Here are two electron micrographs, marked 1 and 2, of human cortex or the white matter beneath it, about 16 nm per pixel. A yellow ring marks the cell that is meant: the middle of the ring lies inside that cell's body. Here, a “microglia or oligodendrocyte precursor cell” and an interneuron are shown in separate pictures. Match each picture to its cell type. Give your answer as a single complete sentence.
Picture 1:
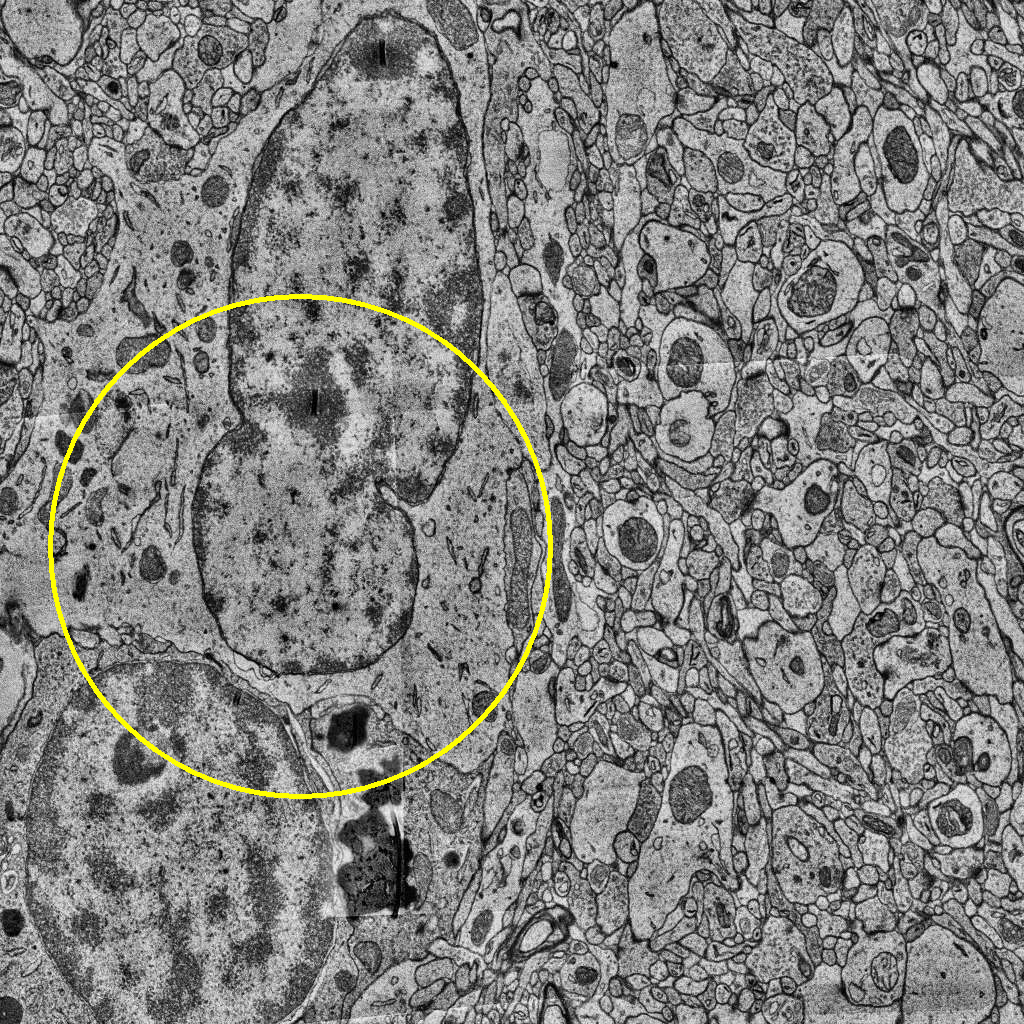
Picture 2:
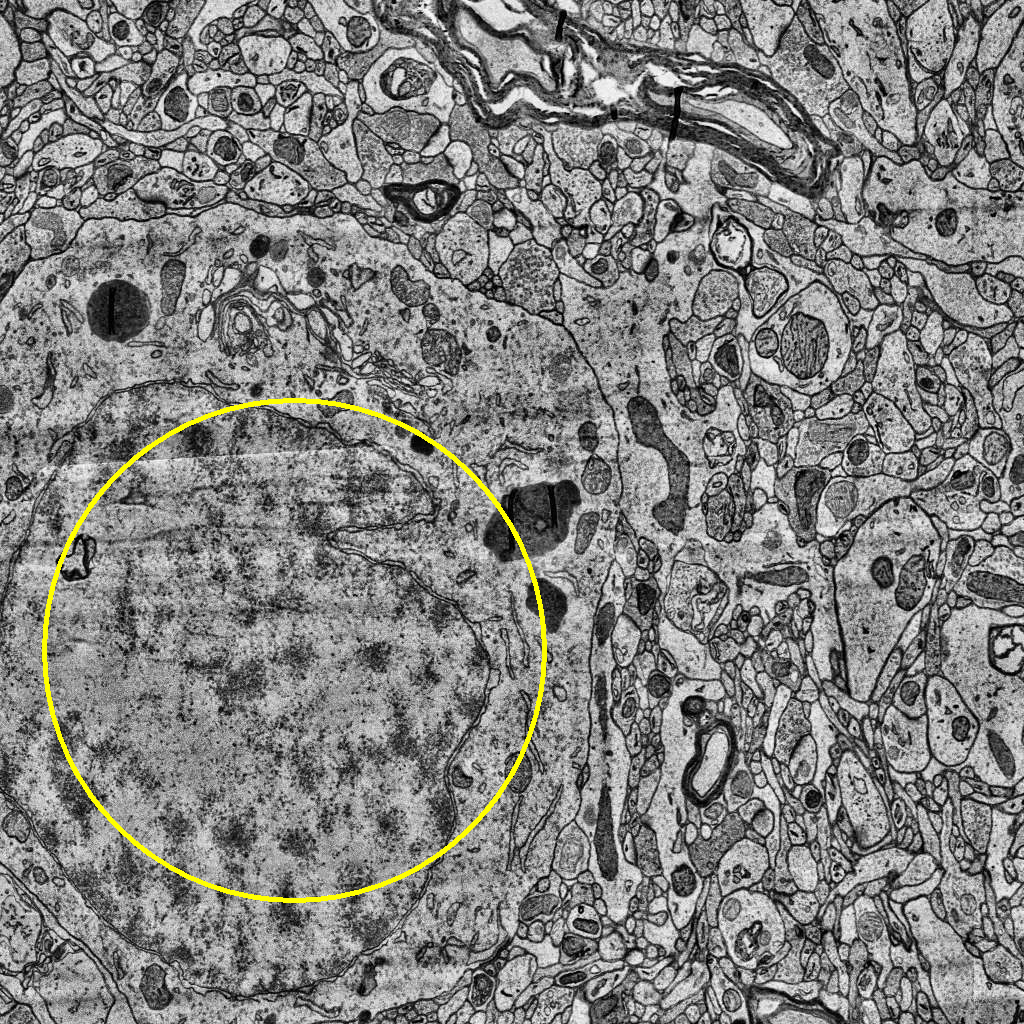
Picture 1 is of a “microglia or oligodendrocyte precursor cell”, and picture 2 is of an interneuron.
